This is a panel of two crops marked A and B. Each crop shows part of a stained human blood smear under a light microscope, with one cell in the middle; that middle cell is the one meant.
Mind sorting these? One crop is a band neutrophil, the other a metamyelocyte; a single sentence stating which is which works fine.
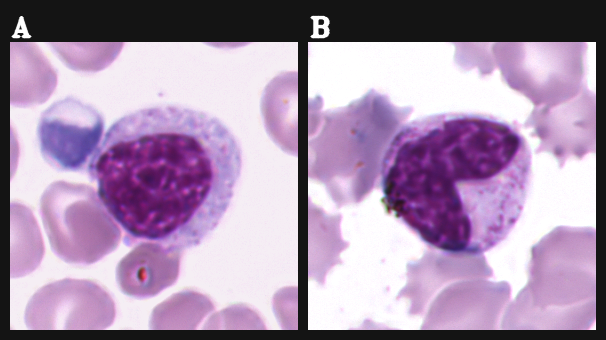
The one in crop A is a metamyelocyte, and the one in crop B is a band neutrophil.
